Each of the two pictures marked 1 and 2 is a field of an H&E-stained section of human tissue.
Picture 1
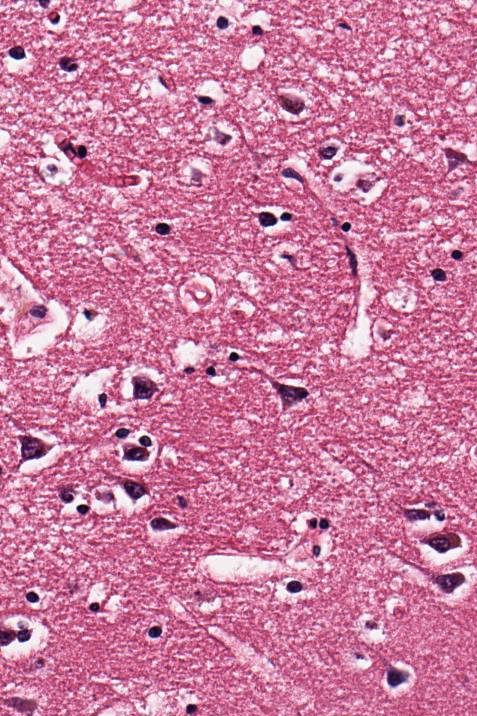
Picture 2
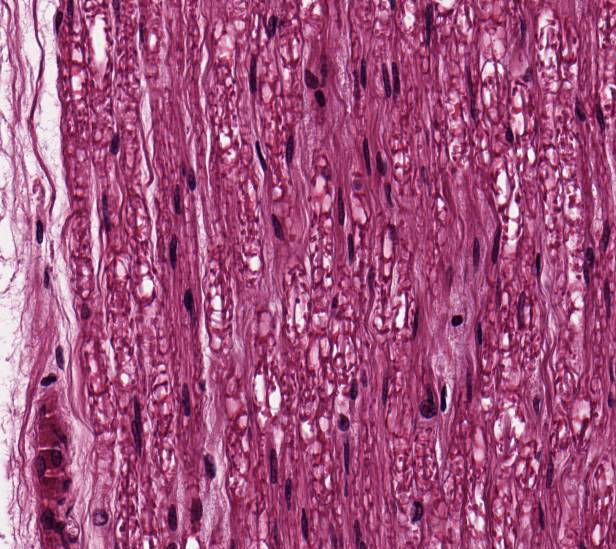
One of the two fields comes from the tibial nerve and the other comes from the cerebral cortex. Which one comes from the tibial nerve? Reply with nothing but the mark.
2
